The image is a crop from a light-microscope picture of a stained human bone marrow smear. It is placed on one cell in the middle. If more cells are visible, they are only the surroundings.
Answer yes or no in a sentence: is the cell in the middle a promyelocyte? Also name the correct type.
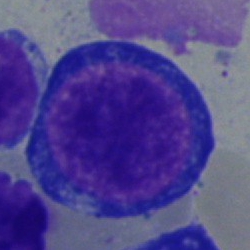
No, the cell at the centre is identified as a proerythroblast, not as a promyelocyte.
